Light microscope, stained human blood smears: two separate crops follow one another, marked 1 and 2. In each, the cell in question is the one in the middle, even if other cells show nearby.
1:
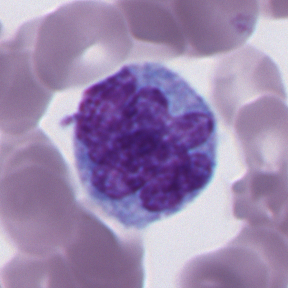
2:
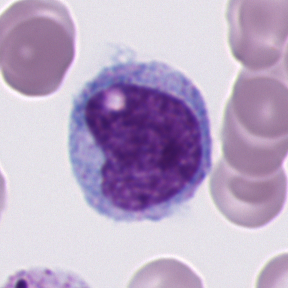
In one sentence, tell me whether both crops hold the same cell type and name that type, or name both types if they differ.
Yes, the cells found in the middle of both crops are monocytes.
